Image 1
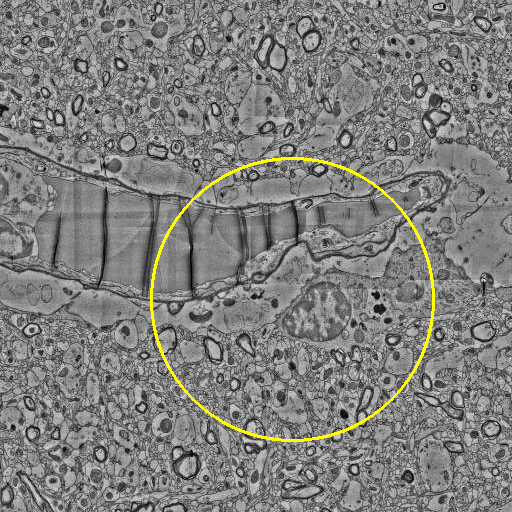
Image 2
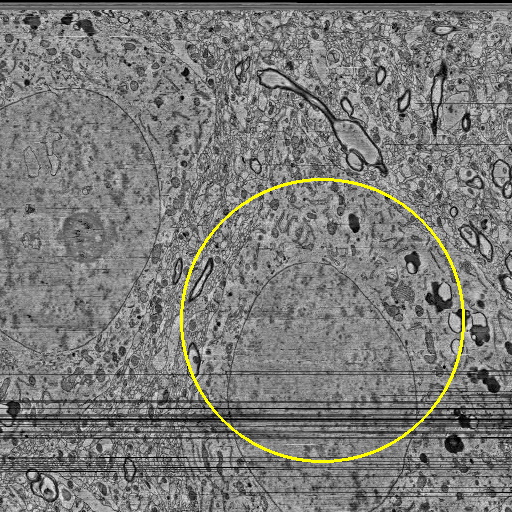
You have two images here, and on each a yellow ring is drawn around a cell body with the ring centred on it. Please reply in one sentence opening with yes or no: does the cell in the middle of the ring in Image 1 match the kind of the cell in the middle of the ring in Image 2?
No, the two images show cells of two kinds at the centres of their rings.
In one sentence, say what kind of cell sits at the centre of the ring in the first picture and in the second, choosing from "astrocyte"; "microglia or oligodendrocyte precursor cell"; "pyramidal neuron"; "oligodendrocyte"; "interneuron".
The first picture's ringed cell is an oligodendrocyte, while the second picture's is a pyramidal neuron.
